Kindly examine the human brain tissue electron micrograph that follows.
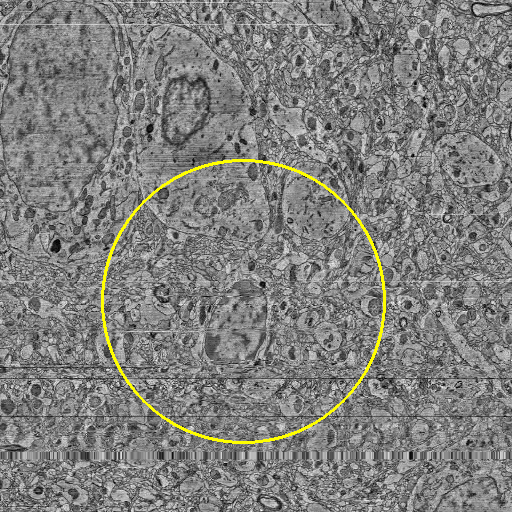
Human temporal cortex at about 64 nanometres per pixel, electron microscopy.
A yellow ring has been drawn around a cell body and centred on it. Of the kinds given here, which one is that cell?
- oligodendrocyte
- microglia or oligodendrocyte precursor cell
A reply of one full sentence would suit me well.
The micrograph's ringed cell, the one at the ring's centre, is a microglial cell or oligodendrocyte precursor cell.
